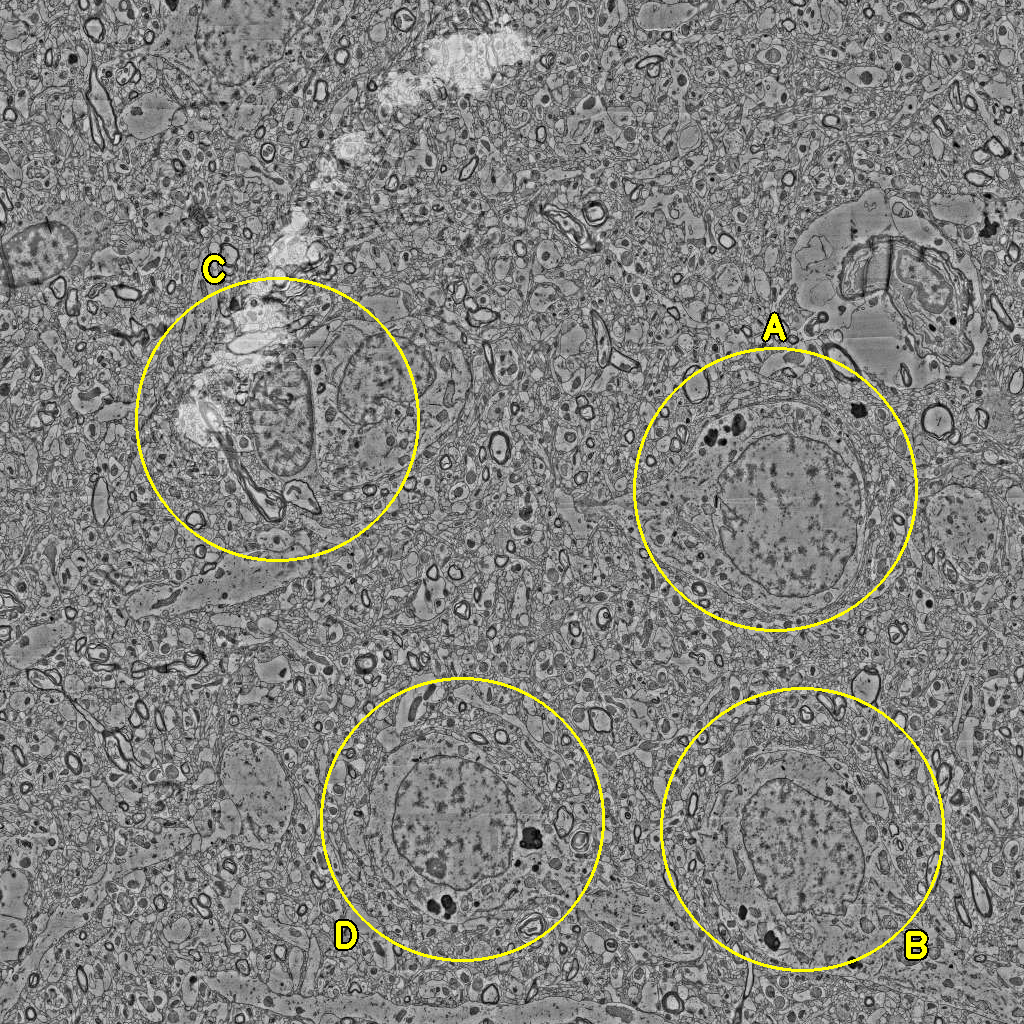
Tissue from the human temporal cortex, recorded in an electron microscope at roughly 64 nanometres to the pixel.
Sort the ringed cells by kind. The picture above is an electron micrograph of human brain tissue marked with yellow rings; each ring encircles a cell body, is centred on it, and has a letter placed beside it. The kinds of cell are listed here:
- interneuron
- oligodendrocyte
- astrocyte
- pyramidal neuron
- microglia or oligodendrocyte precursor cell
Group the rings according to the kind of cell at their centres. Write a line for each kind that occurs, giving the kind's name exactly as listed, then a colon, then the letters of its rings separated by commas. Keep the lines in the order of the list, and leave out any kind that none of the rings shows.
oligodendrocyte: C
pyramidal neuron: A, B, D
